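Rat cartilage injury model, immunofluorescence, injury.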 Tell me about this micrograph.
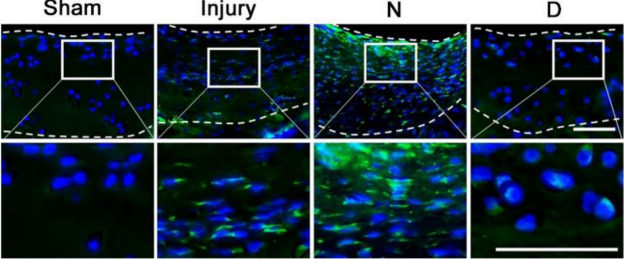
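In the first column the blue nuclei are sparse and rounded, lying apart in the matrix with almost no green around them. In the second and third columns the cells are more crowded, many nuclei are elongated, and green signal surrounds and overlaps them, strongest in the third column. In the last column the nuclei are again rounded and spaced out, with little green.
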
